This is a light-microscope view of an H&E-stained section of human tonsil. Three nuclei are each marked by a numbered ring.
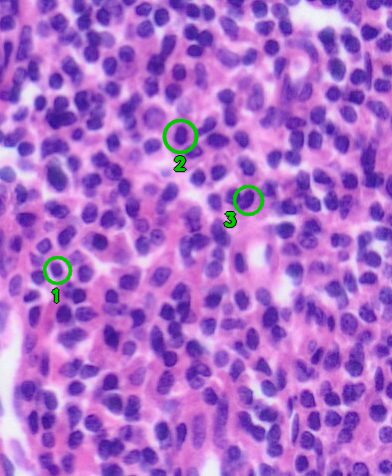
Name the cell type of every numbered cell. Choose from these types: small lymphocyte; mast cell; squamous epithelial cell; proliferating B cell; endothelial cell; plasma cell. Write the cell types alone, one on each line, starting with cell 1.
small lymphocyte
plasma cell
plasma cell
